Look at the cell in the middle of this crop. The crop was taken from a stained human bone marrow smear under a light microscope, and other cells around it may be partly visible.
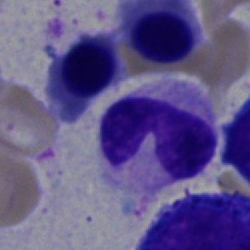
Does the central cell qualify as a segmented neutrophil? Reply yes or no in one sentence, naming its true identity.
No, the cell sitting in the centre of the crop is a band neutrophil, not a segmented neutrophil.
